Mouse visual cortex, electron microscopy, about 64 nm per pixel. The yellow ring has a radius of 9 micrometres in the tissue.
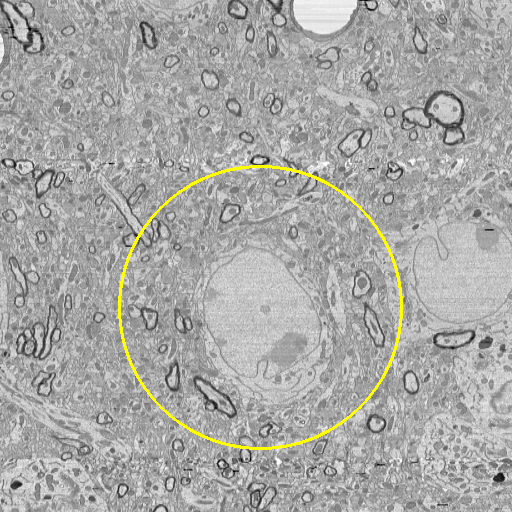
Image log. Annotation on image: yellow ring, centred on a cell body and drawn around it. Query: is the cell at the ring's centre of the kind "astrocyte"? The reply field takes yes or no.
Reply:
no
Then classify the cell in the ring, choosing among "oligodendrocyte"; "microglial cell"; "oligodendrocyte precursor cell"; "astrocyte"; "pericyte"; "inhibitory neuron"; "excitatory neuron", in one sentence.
The cell marked by the ring is an excitatory neuron.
